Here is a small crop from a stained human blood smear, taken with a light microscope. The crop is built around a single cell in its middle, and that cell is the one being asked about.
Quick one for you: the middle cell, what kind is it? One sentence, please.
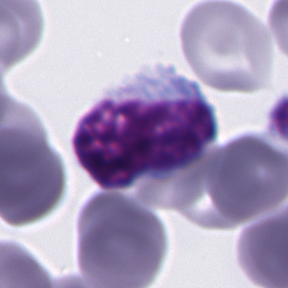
By classification, the middle cell of this crop is a lymphocyte.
